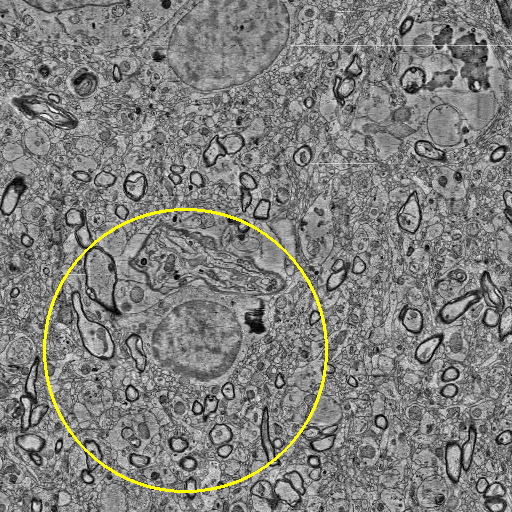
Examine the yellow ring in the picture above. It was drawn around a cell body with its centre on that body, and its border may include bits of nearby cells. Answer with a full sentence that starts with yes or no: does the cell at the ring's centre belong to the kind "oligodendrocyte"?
Yes, the cell at the heart of the ring shown in the image is of that kind.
